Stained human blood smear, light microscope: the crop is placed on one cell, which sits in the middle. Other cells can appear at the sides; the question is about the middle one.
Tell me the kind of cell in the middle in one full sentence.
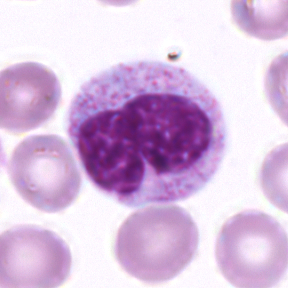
The cell nearest the centre of this crop is a band neutrophil.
